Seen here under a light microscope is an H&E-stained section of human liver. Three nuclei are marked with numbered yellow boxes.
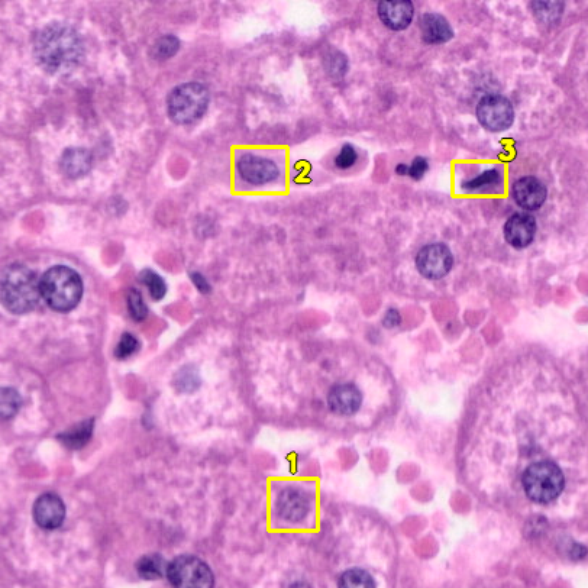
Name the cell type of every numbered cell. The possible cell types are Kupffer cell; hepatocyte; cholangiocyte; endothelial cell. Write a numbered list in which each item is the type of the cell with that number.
1. hepatocyte
2. Kupffer cell
3. endothelial cell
